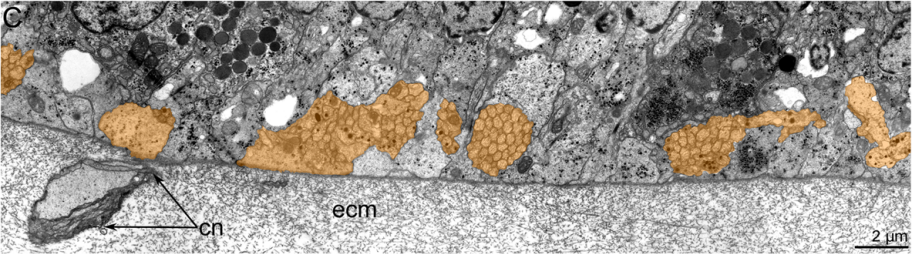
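Scattered along the bottom of the epithelial cells are several separate neurite bundles, each a cluster of small round pale profiles. The epithelial cells above them hold many dark granules and pale vacuoles. The bundles are not gathered into one cord but lie apart between the cell bases.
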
